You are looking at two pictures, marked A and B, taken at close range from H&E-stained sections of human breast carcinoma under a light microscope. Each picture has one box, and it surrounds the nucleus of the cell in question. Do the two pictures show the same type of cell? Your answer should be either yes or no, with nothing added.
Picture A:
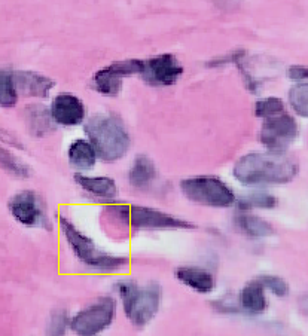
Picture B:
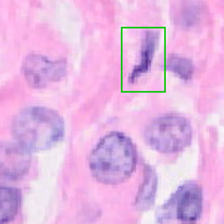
no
